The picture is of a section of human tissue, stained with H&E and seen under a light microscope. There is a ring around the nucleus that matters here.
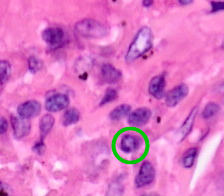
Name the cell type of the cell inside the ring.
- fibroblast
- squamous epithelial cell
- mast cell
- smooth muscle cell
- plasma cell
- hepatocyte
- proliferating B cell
plasma cell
